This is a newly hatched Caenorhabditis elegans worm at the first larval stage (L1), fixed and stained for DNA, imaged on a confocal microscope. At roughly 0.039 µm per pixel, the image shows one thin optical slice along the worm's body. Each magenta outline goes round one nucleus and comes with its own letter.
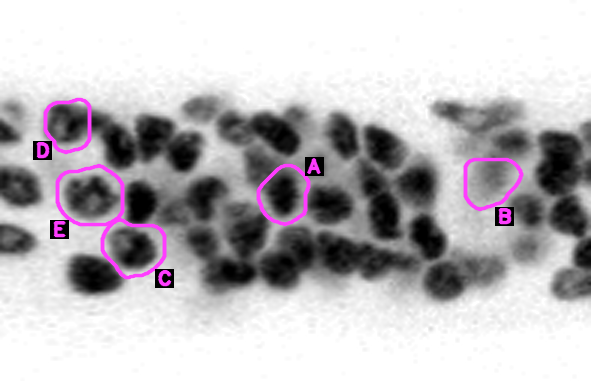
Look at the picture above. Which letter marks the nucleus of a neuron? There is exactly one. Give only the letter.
A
